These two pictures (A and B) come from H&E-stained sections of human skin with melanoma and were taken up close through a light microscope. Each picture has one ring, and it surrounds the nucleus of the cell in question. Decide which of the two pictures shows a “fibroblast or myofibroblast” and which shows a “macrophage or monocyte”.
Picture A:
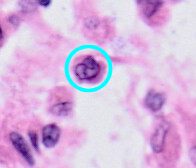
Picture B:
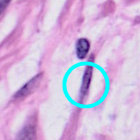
A: macrophage or monocyte
B: fibroblast or myofibroblast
